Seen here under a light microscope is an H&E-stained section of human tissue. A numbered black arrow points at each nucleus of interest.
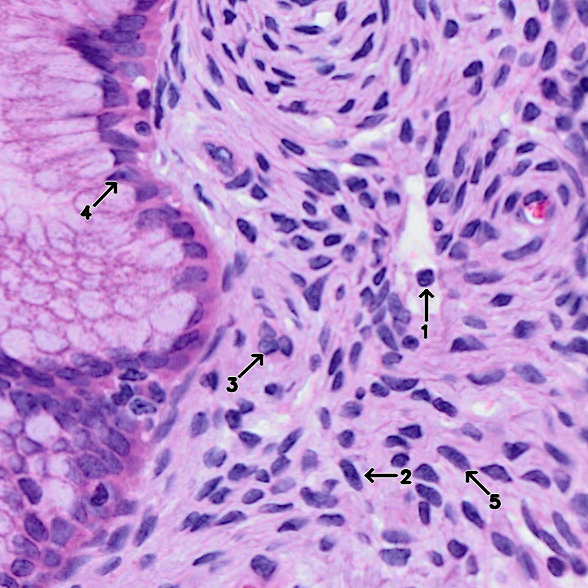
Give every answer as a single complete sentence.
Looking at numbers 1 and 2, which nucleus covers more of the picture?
Number 2 is larger; its area is about 1.5 times that of number 1.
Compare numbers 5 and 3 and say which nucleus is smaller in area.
Number 3 is smaller, since number 5 takes up about 2 times as much area.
